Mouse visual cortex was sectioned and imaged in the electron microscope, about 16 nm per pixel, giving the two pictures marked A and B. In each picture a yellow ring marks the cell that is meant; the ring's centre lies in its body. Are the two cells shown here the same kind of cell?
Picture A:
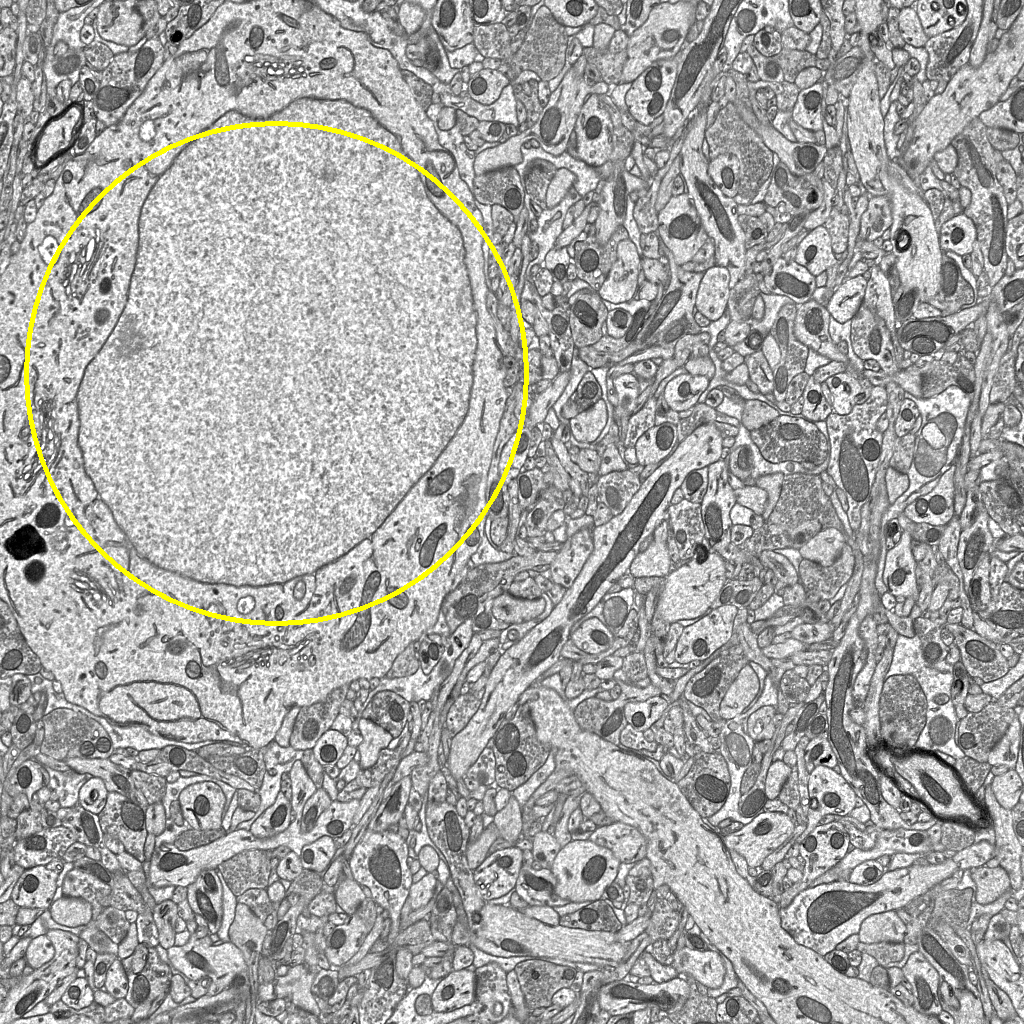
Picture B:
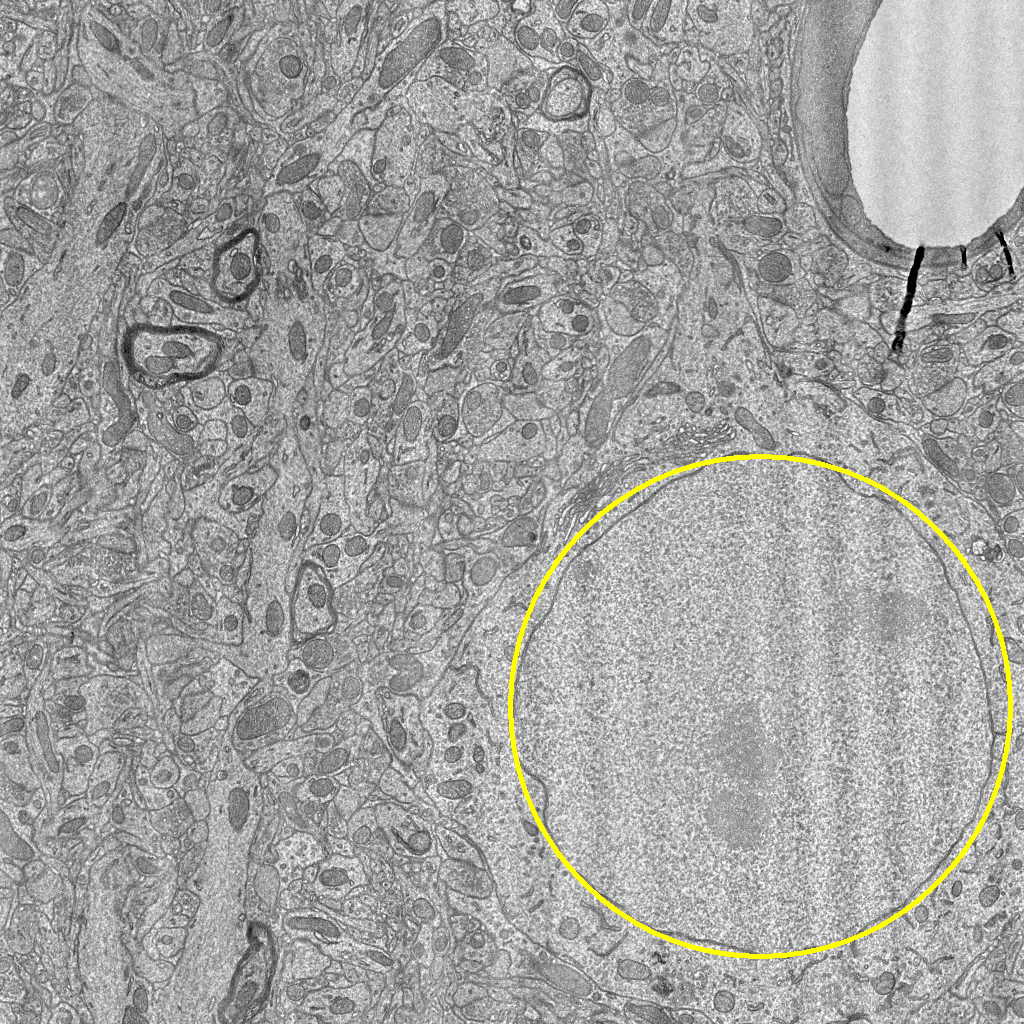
Yes, both cells are excitatory neurons.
